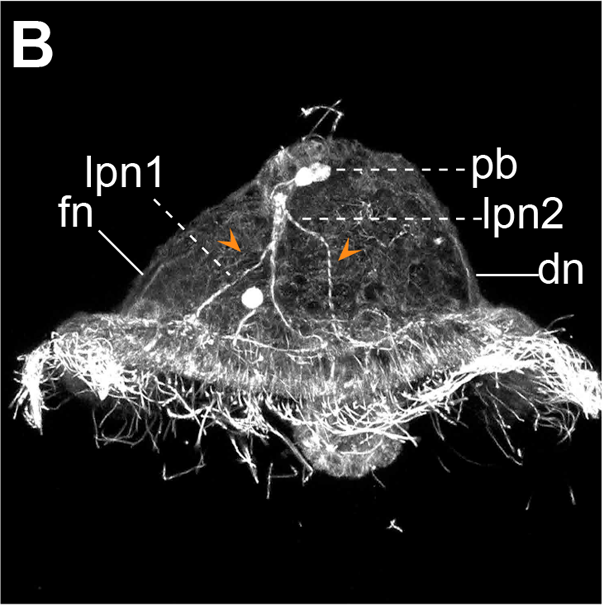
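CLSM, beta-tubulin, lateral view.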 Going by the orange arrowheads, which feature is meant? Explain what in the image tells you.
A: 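The arrowheads lie on thin bright lines running down from the top of the larva. The lines are fine, beaded fibres rather than cell outlines.
Hence: axons.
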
